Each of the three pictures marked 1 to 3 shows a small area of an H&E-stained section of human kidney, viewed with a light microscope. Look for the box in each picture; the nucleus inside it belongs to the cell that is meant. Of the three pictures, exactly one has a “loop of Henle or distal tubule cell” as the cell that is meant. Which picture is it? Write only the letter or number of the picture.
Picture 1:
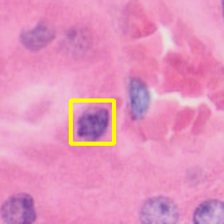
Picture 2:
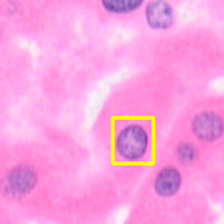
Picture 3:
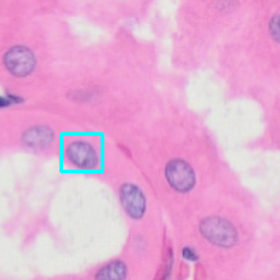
3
